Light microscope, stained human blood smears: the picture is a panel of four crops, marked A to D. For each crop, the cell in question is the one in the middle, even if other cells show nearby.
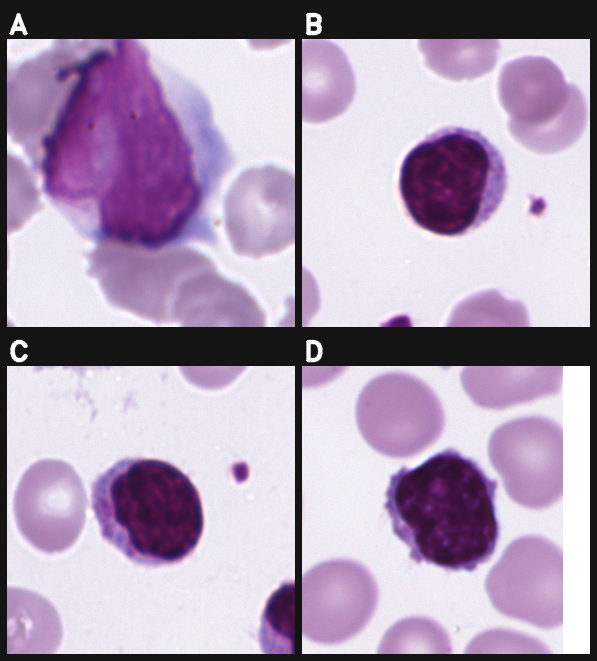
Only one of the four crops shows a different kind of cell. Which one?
A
